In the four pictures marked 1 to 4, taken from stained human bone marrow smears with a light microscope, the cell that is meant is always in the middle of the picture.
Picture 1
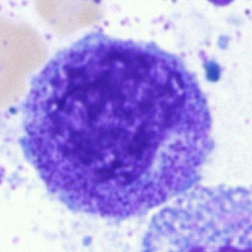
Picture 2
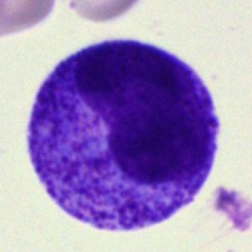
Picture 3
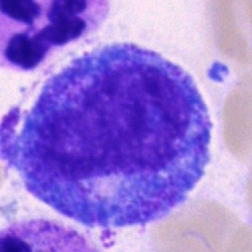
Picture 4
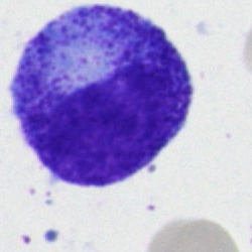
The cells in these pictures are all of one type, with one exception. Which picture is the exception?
1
